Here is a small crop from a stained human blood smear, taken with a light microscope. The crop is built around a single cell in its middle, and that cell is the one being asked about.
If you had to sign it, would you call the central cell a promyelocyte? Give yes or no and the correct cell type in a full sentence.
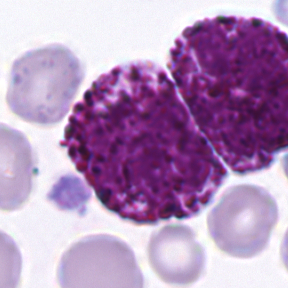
No, the cell in the middle of the crop counts as a basophil and not as a promyelocyte.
